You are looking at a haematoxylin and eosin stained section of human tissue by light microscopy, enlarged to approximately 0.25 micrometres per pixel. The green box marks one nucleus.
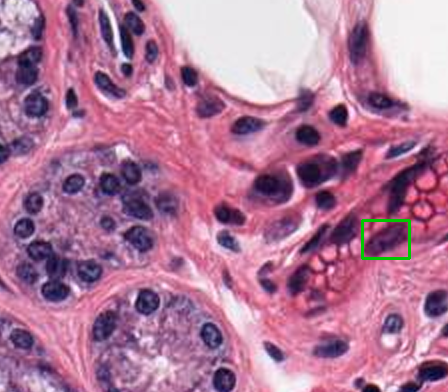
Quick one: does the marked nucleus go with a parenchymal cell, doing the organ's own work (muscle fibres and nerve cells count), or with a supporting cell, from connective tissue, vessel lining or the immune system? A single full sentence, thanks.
The marked nucleus is located within a supporting cell.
